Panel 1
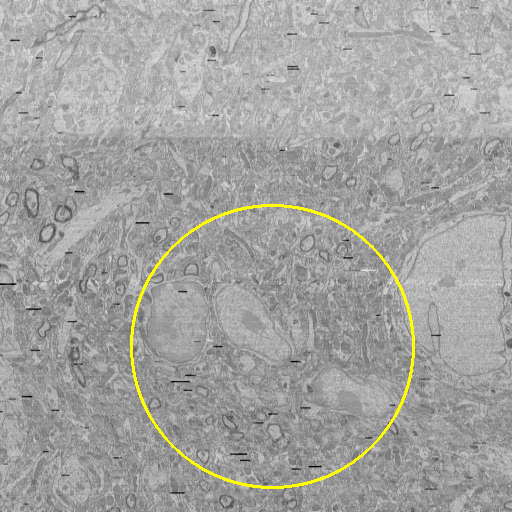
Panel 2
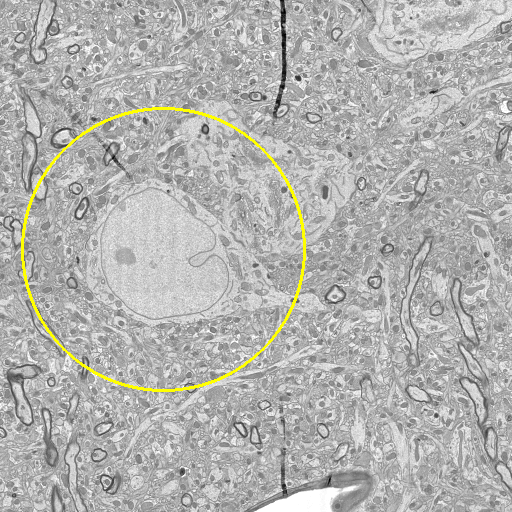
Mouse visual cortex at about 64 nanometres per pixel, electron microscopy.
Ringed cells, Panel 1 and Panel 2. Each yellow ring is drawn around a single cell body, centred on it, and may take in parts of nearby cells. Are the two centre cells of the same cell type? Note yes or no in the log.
no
